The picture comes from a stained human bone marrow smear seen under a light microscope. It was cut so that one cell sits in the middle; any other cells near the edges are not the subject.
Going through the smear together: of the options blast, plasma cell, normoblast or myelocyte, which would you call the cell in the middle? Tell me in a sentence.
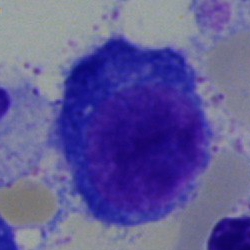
At the center of the crop sits a plasma cell.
